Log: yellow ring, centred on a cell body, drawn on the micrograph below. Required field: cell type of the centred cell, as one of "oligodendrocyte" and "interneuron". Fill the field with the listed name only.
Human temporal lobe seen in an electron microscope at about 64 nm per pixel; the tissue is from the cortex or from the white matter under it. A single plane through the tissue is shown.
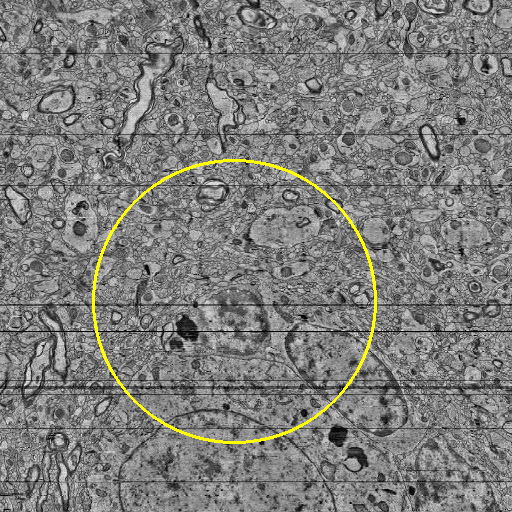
oligodendrocyte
